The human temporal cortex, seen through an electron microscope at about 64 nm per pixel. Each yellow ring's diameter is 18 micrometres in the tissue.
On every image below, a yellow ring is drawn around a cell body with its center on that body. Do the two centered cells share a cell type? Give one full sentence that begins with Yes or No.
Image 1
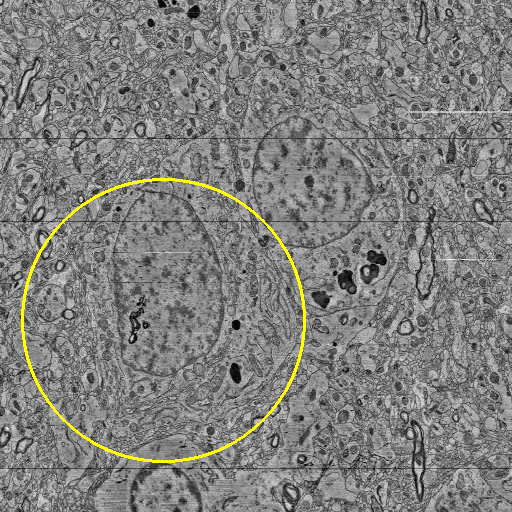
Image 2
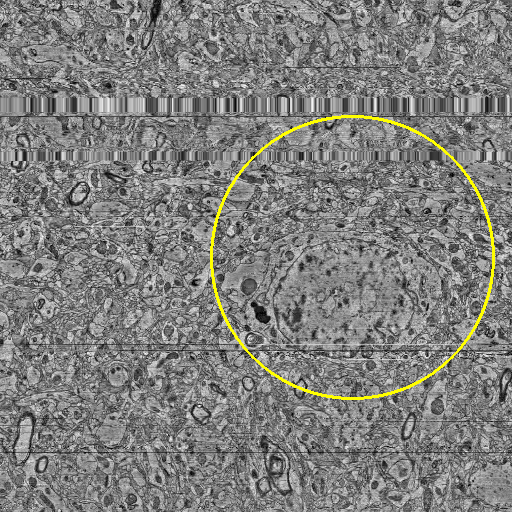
Yes, the centered cells in the two images are of a single cell type.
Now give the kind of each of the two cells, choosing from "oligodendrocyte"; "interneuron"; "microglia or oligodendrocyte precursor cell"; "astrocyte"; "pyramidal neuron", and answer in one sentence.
Both pictures show an interneuron at the centre of the ring.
